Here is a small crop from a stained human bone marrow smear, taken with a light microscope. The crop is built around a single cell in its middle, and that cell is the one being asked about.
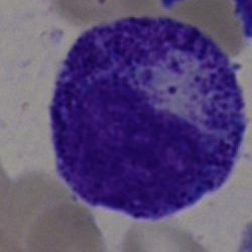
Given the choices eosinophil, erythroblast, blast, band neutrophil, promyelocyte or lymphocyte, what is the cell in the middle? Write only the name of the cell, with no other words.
promyelocyte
